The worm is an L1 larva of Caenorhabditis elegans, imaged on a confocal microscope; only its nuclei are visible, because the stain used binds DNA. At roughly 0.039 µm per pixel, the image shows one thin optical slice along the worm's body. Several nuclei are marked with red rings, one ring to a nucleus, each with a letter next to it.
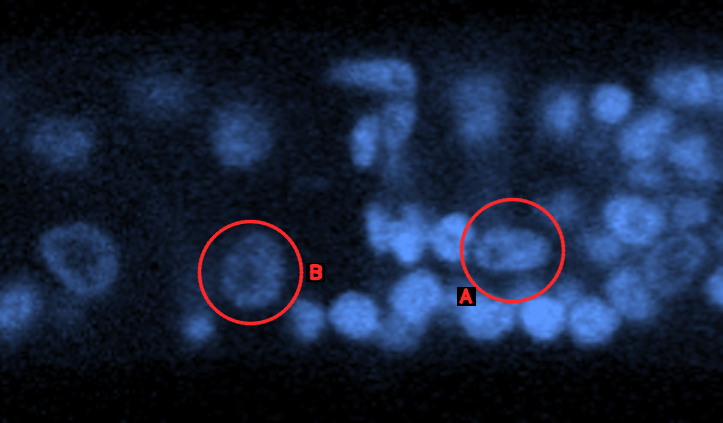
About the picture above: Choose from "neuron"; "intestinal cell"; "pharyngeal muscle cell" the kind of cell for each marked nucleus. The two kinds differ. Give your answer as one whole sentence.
One is from a pharyngeal muscle cell, namely A, and the other, B, is from an intestinal cell.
